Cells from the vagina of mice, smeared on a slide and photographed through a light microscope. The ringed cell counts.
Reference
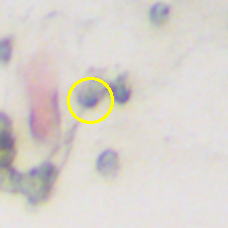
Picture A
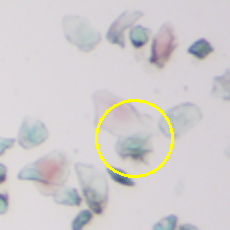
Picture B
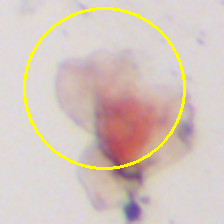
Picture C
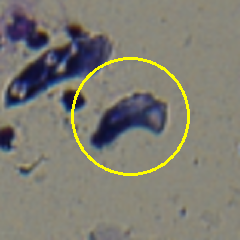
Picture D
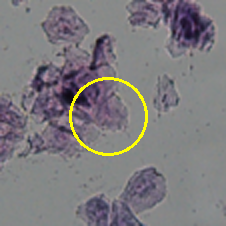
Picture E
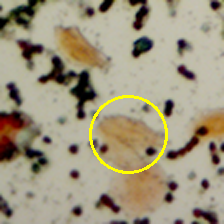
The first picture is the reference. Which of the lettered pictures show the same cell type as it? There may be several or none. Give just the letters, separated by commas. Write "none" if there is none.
none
